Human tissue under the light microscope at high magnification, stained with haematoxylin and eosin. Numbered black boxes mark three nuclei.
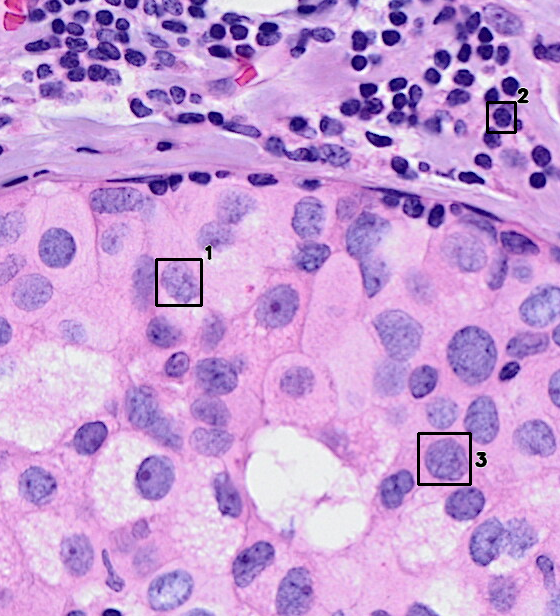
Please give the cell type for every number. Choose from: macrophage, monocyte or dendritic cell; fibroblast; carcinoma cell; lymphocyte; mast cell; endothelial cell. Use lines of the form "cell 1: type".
cell 1: carcinoma cell
cell 2: lymphocyte
cell 3: carcinoma cell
